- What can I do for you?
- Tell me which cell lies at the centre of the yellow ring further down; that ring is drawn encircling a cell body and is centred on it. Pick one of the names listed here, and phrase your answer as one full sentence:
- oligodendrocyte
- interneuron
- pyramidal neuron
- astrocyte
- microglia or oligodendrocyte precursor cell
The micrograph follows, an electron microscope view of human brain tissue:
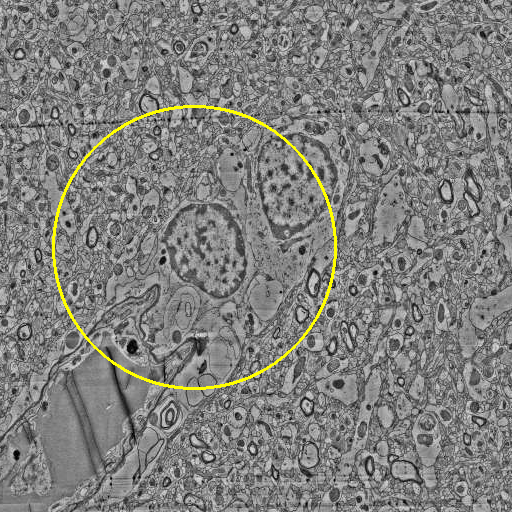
The cell whose body lies at the centre of the yellow ring is a microglial cell or oligodendrocyte precursor cell.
